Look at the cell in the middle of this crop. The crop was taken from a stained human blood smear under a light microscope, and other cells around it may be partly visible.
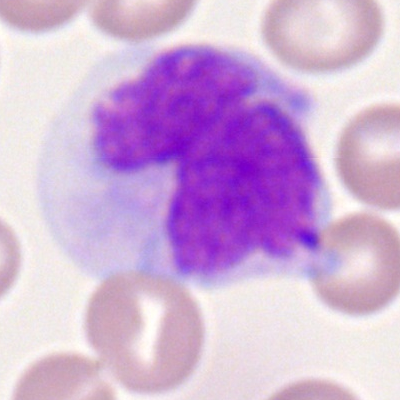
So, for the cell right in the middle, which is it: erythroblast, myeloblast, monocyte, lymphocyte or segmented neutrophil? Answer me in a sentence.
Here the centrally located cell is a monocyte.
